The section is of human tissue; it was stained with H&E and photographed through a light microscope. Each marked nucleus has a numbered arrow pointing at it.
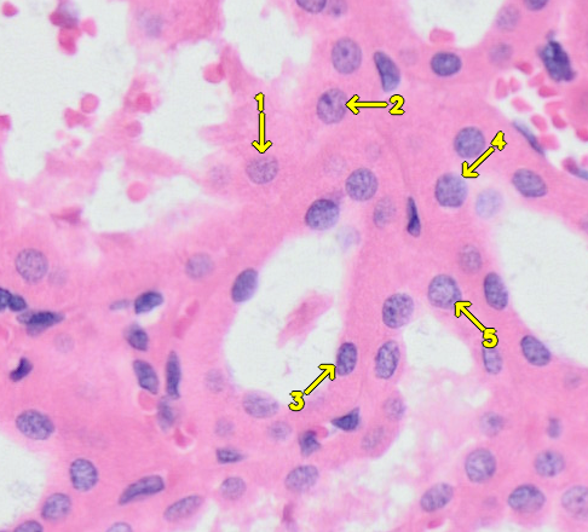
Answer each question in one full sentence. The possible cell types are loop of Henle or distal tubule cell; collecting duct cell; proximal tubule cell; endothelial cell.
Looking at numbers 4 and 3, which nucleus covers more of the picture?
The larger nucleus is 4, at roughly 1.5 times the area of 3.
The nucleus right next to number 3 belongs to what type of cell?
The cell nearest to number 3 is a loop of Henle or distal tubule cell.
